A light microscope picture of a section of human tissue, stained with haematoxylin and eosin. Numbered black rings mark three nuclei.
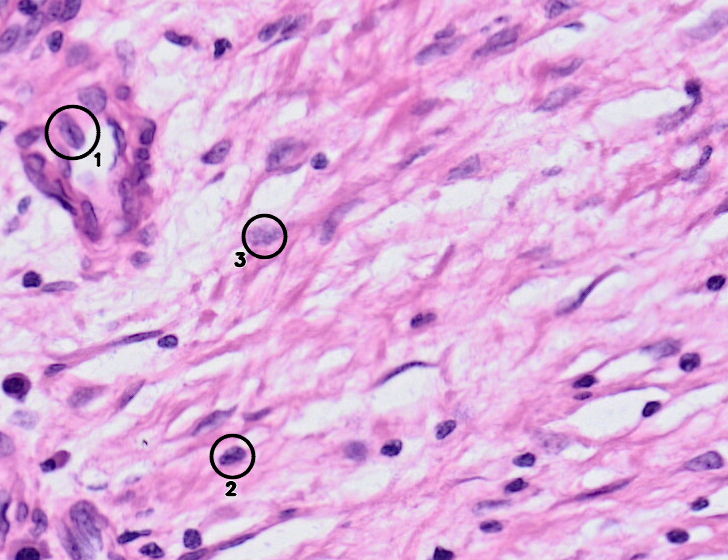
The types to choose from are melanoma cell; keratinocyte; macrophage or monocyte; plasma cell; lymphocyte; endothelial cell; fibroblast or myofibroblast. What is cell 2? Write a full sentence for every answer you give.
Of the numbered cells, the one labelled 2 is a lymphocyte.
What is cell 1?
What the number 1 marks in this field is an endothelial cell.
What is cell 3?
The cell identified by the number 3 is a fibroblast or myofibroblast.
